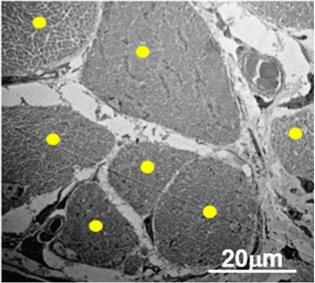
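This electron micrograph shows large matured muscle fibers cut in cross section. The fibers appear as large, closely packed polygonal profiles filling most of the field. Their cytoplasm is densely packed with fine, stippled contractile material. Narrow pale interstitial spaces lie between the fibers, with some smaller profiles tucked in among them.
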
